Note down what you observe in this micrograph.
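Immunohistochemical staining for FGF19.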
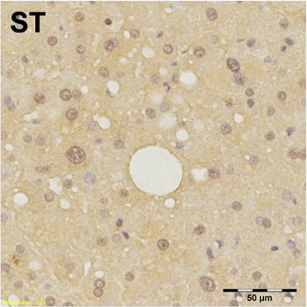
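Liver parenchyma of polygonal hepatocytes in plates, with round, centrally placed nuclei, blue-purple counterstained and often showing a visible nucleolus. Cytoplasm is finely granular and evenly pale brown. Scattered among the cells are round, sharply bounded clear vacuoles of varying size, from small droplets to one large vacuole near the centre of the field, consistent with lipid deposition. No dense inflammatory clusters are evident.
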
